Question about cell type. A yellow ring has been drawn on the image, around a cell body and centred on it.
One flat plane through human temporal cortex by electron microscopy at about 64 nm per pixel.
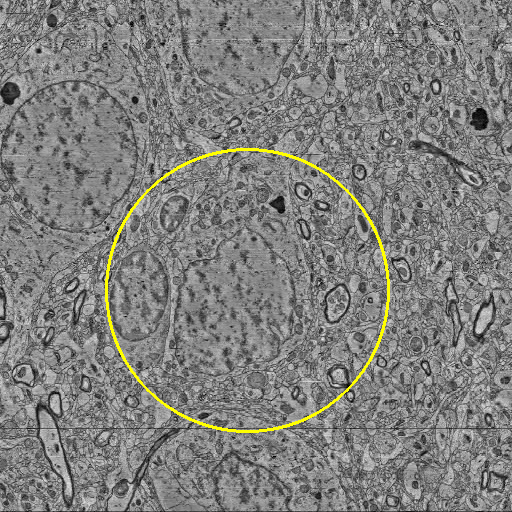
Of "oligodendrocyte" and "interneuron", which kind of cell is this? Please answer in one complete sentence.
At the centre of the ring lies an interneuron.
